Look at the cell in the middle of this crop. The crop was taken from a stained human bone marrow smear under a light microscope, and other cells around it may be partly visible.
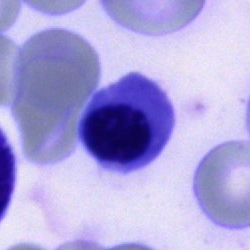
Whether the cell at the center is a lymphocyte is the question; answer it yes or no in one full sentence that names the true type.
No, the central cell is designated a normoblast and not a lymphocyte.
